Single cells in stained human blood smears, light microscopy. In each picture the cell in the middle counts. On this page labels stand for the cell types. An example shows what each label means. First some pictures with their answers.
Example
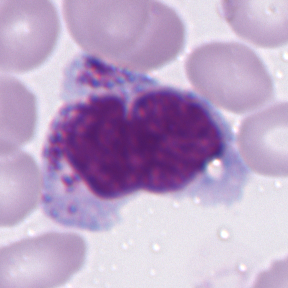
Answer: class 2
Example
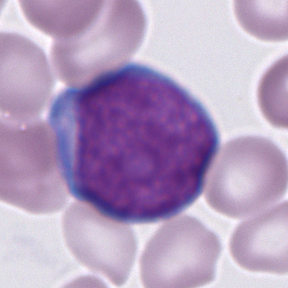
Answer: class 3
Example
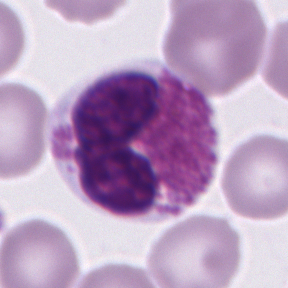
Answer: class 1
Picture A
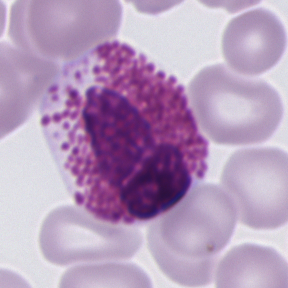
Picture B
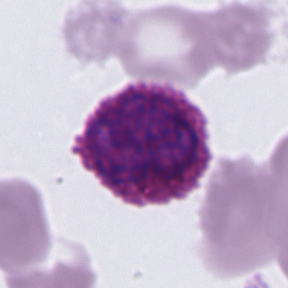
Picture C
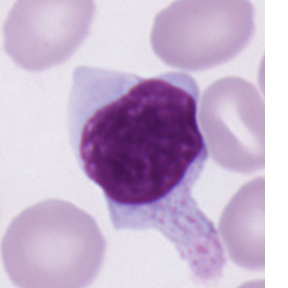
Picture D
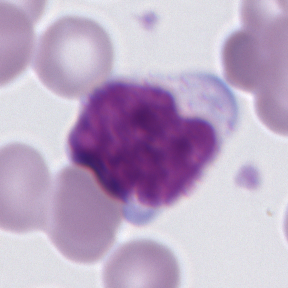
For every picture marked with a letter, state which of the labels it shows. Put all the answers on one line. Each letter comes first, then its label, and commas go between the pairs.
A class 1, B class 1, C class 2, D class 2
